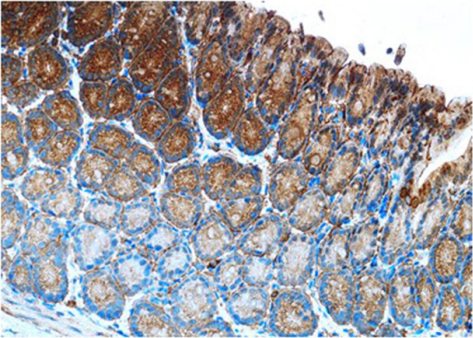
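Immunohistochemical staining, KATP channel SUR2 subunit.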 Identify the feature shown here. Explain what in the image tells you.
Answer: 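Each gland is lined by a single layer of columnar epithelial cells with basal blue nuclei. Thin strands of connective tissue separate the glands. That points to this answer: crypt structures.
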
